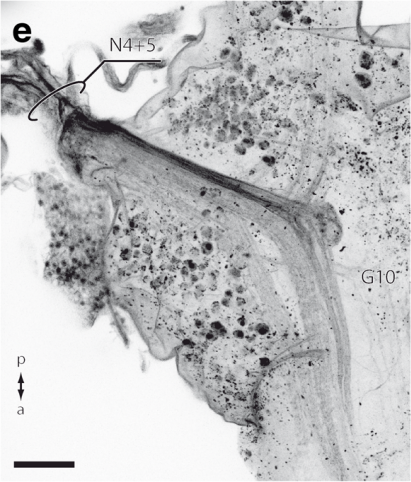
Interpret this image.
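A dark nerve bundle enters from the top left and spreads into a broad fan of fibres within the hemiganglion. Numerous round labelled neuronal cell bodies of varying size and intensity are scattered through the cortex beside and below the fibre tract.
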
